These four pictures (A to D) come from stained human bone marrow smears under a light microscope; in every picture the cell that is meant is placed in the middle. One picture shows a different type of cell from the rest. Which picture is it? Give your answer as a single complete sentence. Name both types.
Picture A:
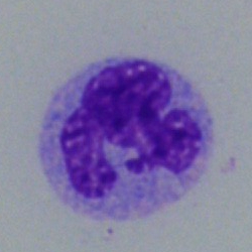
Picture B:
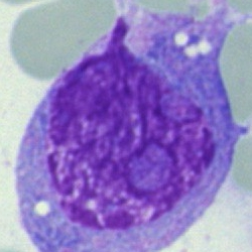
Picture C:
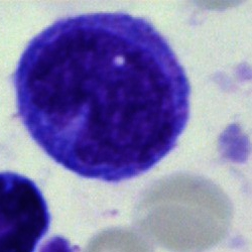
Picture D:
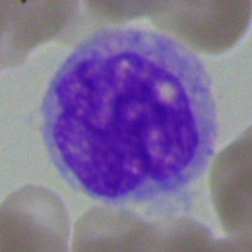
The different one is picture B; it shows a blast, whereas all the others show monocytes.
